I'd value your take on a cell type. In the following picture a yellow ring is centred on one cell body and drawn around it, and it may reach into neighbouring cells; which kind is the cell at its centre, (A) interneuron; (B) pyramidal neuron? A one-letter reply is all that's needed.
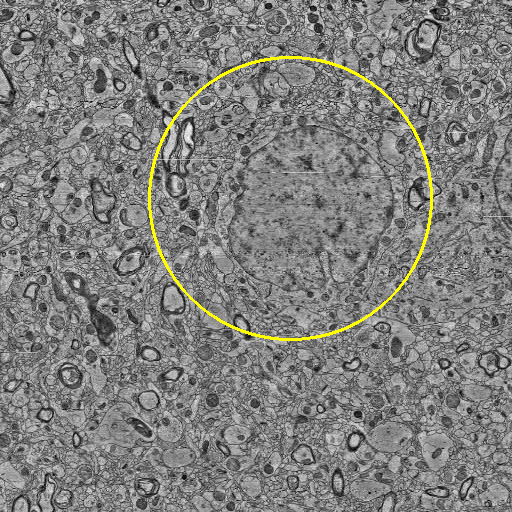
A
